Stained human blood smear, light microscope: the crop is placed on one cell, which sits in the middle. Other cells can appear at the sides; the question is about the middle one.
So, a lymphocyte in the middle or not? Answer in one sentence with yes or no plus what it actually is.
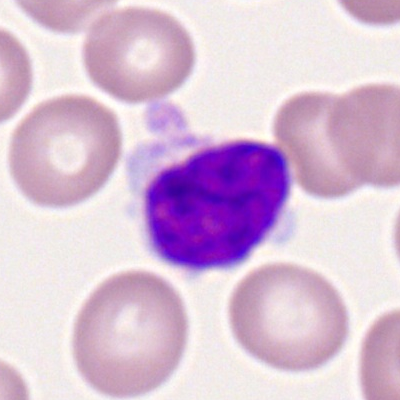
Yes, the cell lying in the centre of the crop is identified as a lymphocyte.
